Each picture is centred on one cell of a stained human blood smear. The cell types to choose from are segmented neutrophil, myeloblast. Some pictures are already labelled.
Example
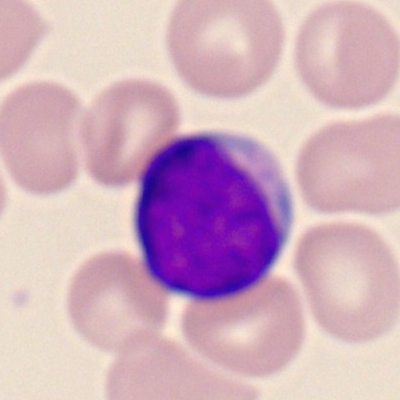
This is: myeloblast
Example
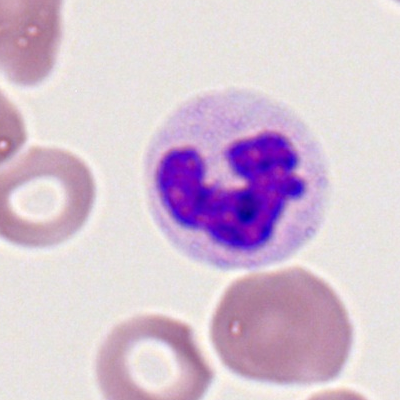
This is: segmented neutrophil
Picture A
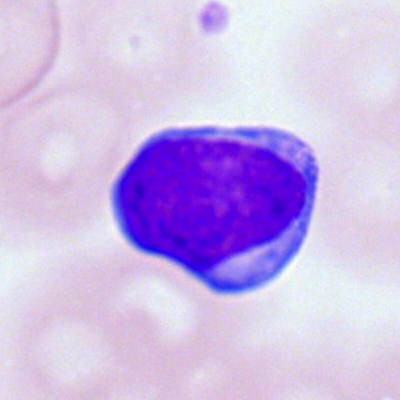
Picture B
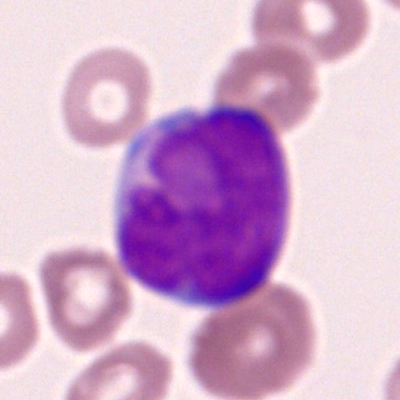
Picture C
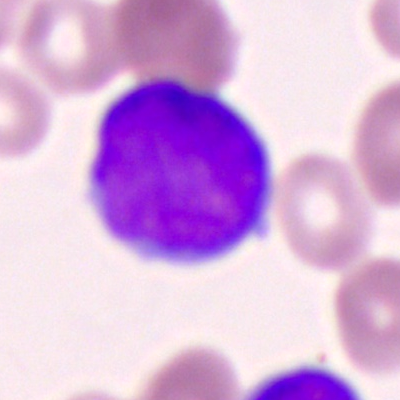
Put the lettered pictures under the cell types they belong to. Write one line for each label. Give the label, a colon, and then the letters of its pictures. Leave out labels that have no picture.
myeloblast: A, B, C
